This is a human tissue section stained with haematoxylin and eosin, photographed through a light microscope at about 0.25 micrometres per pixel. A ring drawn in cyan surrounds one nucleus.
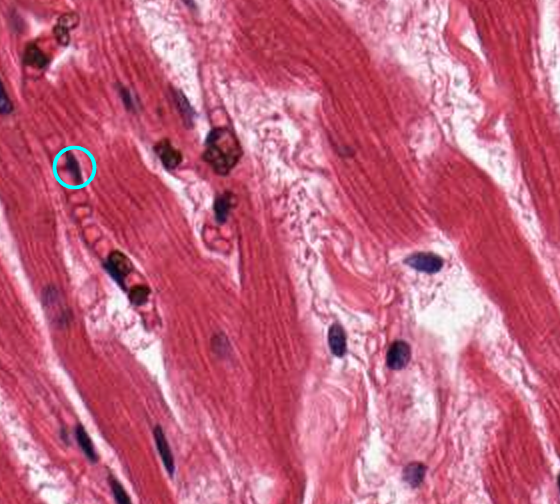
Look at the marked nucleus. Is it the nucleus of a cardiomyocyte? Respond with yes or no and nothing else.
no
